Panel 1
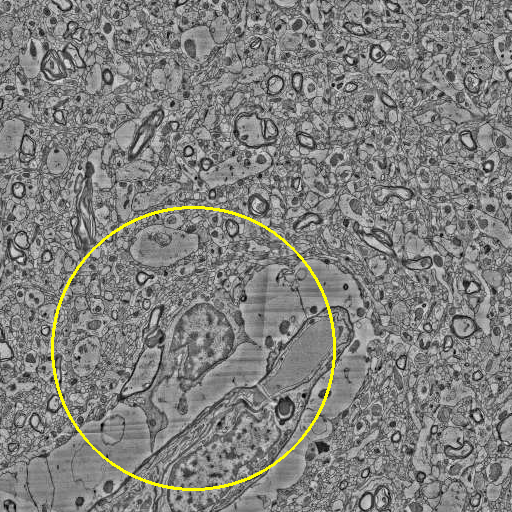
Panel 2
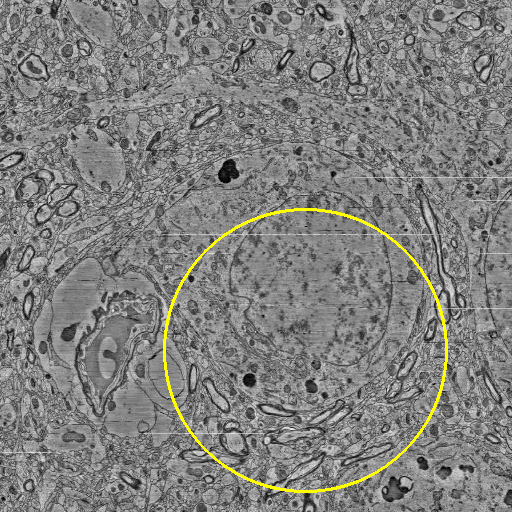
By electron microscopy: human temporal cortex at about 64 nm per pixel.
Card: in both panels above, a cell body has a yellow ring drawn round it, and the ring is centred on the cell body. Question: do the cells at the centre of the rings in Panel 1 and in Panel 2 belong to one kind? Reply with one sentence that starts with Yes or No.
No, the cells centred in the rings of Panel 1 and Panel 2 are two kinds of cell.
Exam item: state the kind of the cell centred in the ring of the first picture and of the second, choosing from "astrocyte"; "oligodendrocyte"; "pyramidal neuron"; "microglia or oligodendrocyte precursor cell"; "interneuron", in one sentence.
The first picture shows an oligodendrocyte at the ring centre and the second shows a pyramidal neuron.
